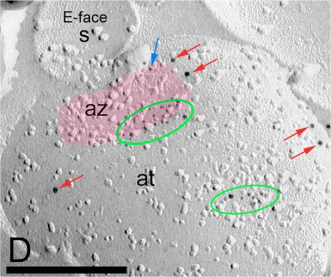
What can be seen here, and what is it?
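Freeze-fracture replica of an axon terminal membrane, with the face densely studded with small intramembrane particles. A region shaded pink marks the active zone, where the intramembrane particles lie especially crowded. Gold particles of two sizes lie on the membrane, larger and smaller ones grouped together in elongated clusters near the edge of the shaded zone and farther out on the terminal. A few single large particles lie scattered elsewhere on the face. At the top edge a smaller profile of a spine is fractured alongside the terminal.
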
